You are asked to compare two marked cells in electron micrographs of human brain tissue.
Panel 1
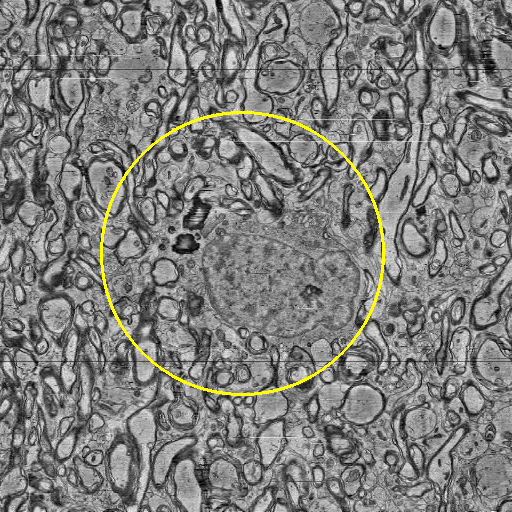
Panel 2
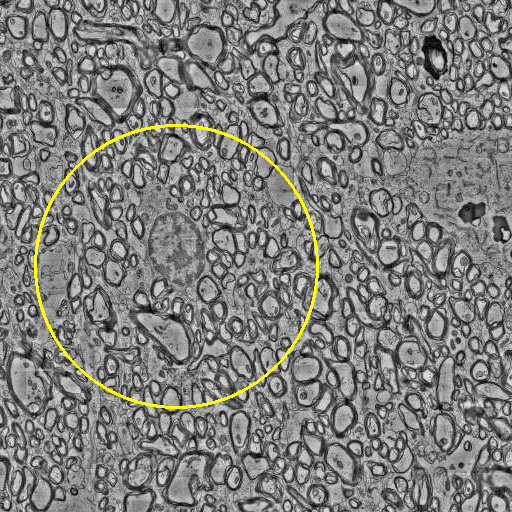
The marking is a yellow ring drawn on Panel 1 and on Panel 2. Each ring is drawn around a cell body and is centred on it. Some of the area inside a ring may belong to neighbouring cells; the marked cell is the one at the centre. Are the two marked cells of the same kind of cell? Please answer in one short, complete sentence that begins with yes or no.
Yes, the two marked cells are of the same kind.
